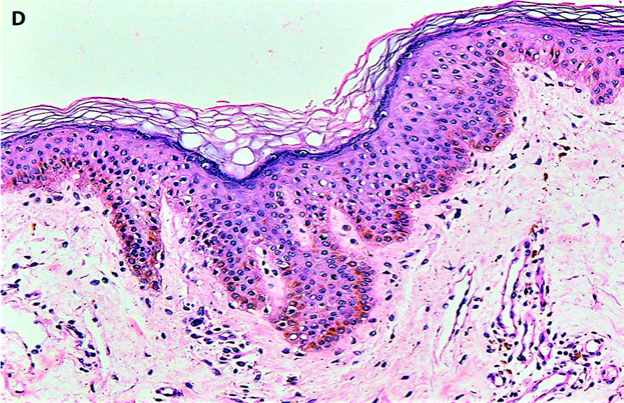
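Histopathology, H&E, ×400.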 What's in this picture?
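Skin in section: stratified squamous epidermis over pale pink dermis. The surface has a loose basket-weave cornified layer and a thin granular layer. Below these, the spinous layer is made of polygonal cells with round purple nuclei and pink cytoplasm. Rete ridges of moderate length dip into the dermis. Granular brown pigment is concentrated in the basal layer, most densely at the ridge tips, and extends faintly into the lower spinous cells. The papillary dermis is loose and pale, with small vessels and scattered spindle cells. Scattered brown pigment-laden cells lie in the dermis. The cornified layer is not notably thickened.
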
